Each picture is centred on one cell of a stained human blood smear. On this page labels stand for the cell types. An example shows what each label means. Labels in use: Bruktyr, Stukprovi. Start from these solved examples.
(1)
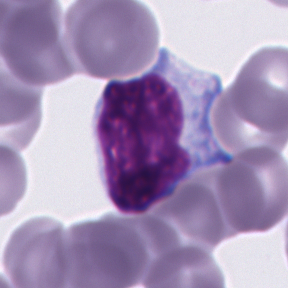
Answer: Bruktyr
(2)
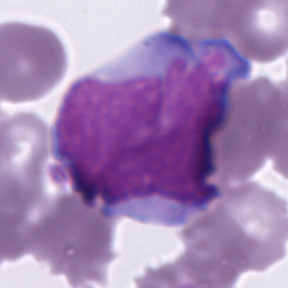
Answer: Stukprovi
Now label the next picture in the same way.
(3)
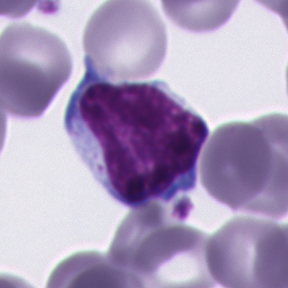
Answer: Bruktyr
